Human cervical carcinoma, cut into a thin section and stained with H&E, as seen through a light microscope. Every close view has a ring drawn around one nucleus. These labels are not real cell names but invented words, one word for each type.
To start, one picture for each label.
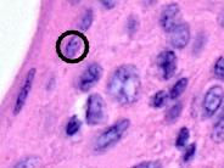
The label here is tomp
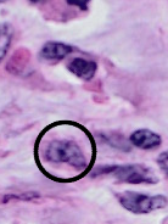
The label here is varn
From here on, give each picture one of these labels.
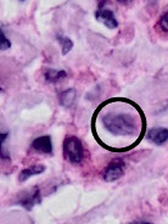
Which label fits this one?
varn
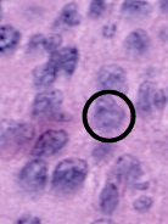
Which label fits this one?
tomp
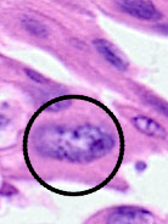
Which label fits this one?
tomp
